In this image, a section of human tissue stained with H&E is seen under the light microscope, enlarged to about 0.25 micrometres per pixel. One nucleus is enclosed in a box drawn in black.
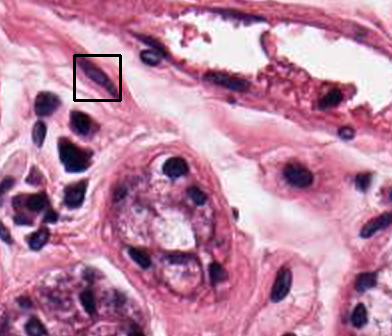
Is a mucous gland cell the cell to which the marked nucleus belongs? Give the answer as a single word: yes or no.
no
